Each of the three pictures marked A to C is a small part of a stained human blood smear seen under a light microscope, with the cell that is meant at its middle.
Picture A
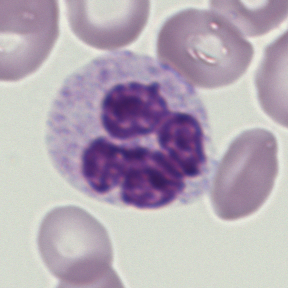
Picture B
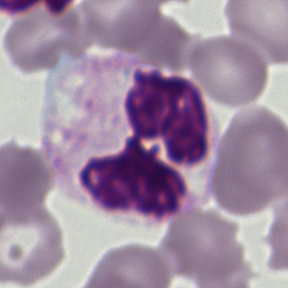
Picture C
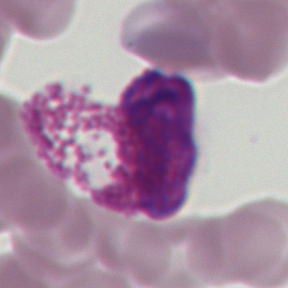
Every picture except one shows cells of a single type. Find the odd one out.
C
